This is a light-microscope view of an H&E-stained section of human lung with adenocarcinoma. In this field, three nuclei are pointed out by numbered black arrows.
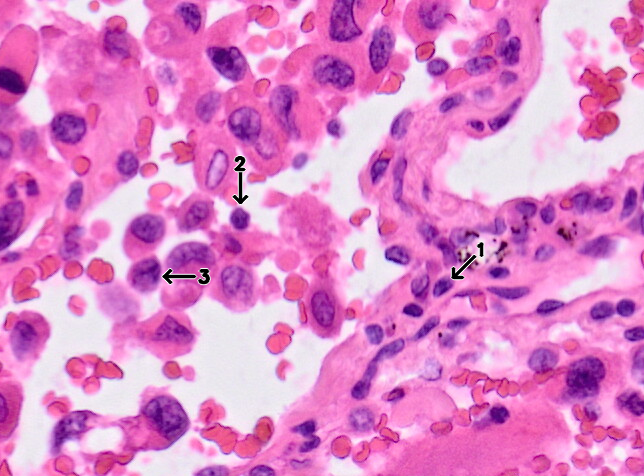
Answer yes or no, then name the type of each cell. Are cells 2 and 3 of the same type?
No, cell 2 is a lymphocyte and cell 3 is a carcinoma cell.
